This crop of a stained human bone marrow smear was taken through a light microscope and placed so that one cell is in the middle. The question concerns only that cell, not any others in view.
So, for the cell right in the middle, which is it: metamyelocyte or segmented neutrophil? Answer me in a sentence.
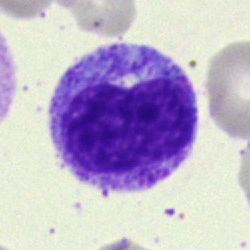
The centrally located cell in the crop is a metamyelocyte.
